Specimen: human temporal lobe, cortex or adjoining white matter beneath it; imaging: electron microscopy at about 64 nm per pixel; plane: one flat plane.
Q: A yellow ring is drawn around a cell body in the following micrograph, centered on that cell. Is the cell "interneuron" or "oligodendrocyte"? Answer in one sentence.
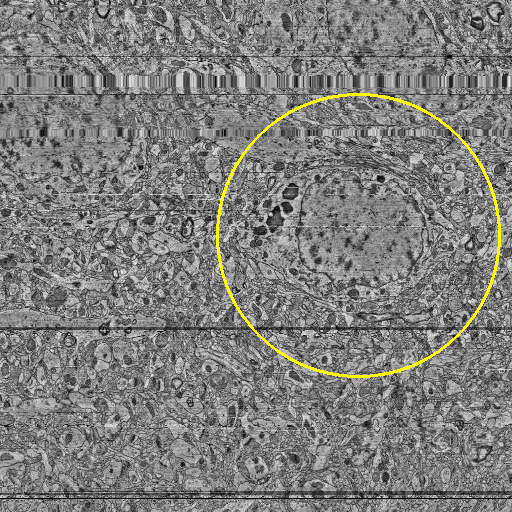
The cell in the center of the ring is an interneuron.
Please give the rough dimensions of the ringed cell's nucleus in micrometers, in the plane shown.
About 8 micrometres across in this plane, for the nucleus.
